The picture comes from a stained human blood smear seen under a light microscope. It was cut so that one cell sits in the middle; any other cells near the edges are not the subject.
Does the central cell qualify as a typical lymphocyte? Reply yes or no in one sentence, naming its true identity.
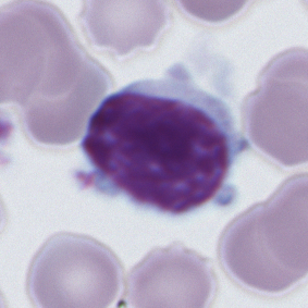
Yes, in the middle of the crop is a typical lymphocyte.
